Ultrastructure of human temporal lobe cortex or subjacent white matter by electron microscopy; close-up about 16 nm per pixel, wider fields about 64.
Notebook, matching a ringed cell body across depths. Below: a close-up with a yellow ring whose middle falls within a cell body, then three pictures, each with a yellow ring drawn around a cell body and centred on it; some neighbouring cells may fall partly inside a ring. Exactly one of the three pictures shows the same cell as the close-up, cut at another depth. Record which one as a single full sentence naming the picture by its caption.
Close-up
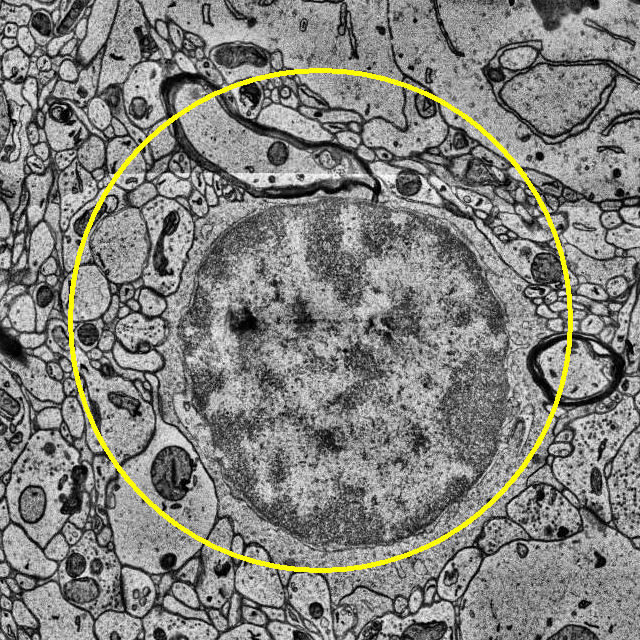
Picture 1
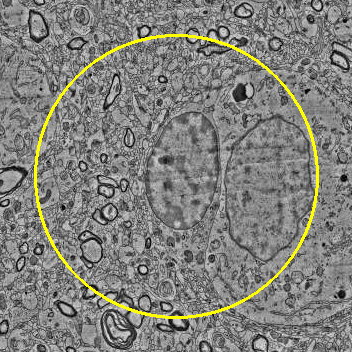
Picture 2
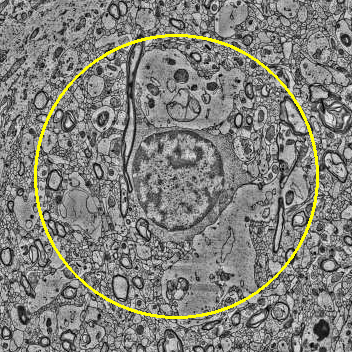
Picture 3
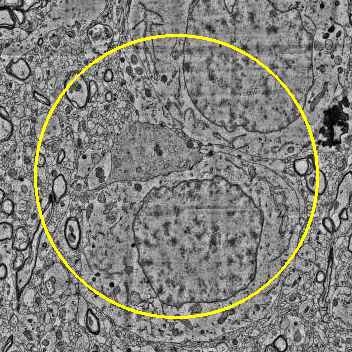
The cell that the close-up enlarges is ringed in Picture 3.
